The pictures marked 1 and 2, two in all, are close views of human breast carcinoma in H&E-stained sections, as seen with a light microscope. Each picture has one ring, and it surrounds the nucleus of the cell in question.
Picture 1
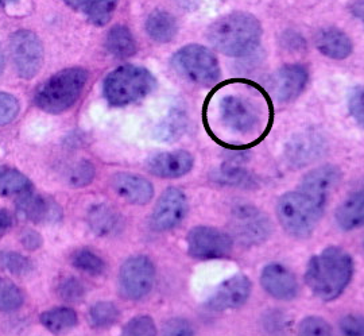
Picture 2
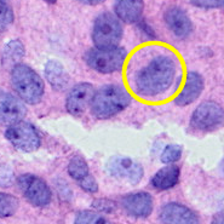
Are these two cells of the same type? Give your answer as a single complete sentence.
Yes, both are carcinoma cells.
